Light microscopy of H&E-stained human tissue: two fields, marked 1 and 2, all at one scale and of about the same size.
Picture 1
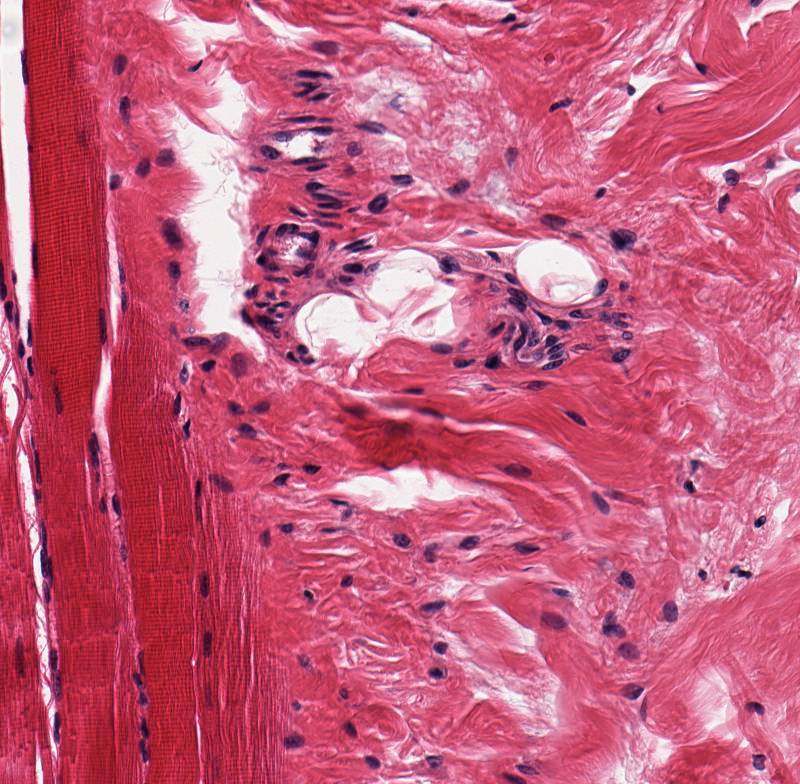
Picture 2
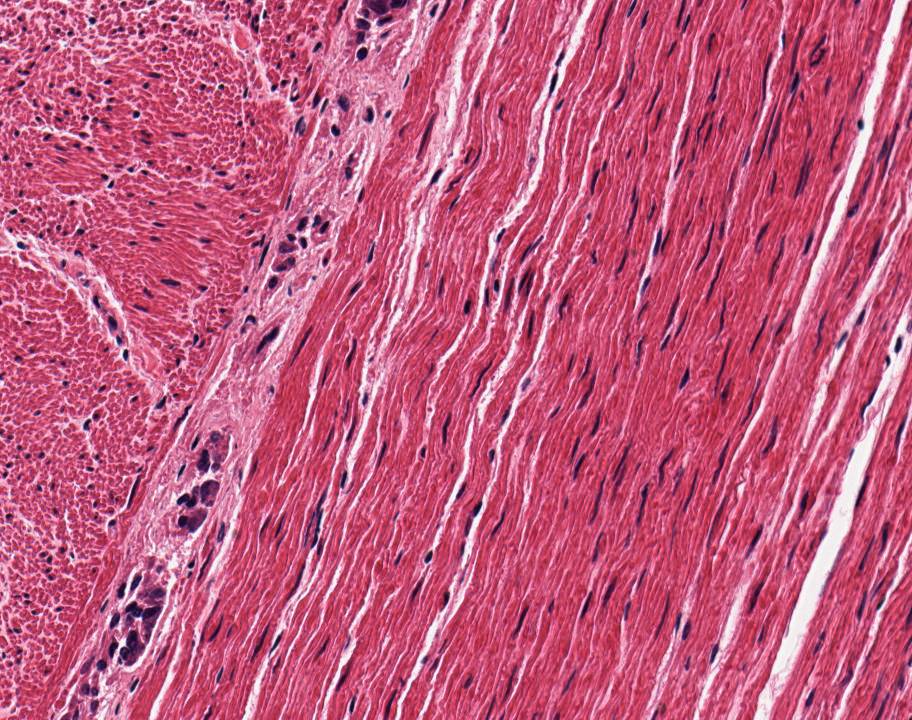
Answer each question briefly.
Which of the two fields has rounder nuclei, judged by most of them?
1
